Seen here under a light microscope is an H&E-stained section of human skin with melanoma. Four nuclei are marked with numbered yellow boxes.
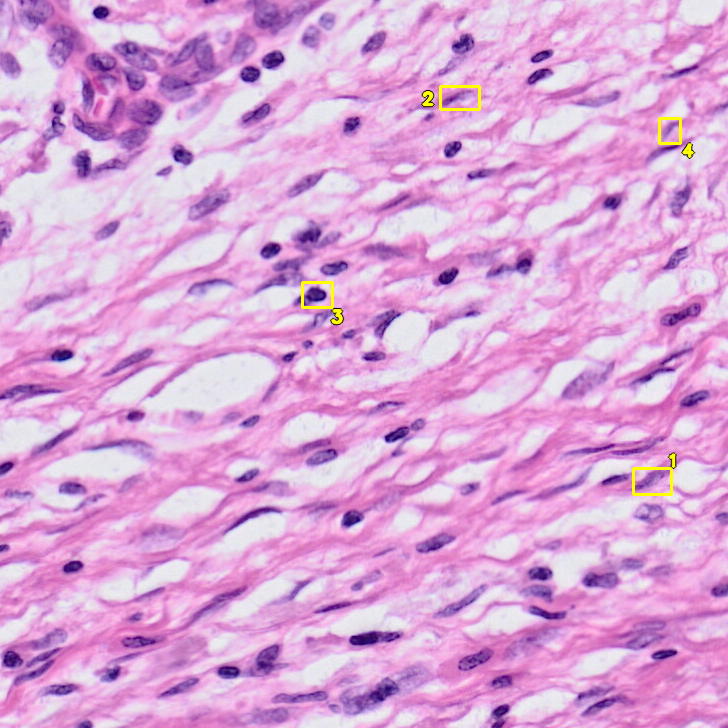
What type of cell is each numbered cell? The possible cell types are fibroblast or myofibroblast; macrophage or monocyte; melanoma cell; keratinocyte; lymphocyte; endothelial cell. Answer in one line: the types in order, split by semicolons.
fibroblast or myofibroblast; fibroblast or myofibroblast; lymphocyte; fibroblast or myofibroblast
